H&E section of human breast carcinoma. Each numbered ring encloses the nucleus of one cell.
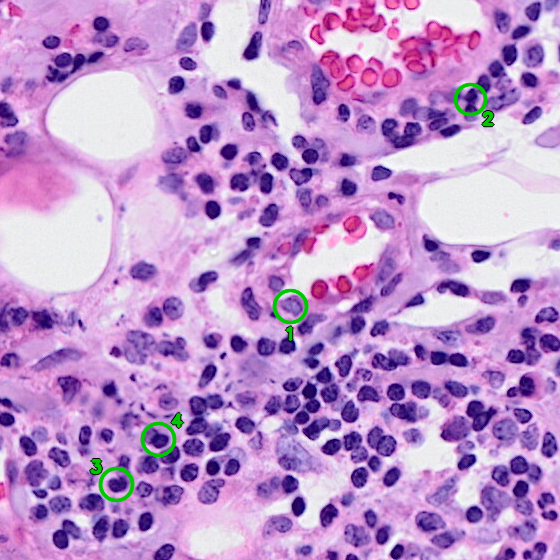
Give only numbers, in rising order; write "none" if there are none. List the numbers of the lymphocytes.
2, 3, 4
